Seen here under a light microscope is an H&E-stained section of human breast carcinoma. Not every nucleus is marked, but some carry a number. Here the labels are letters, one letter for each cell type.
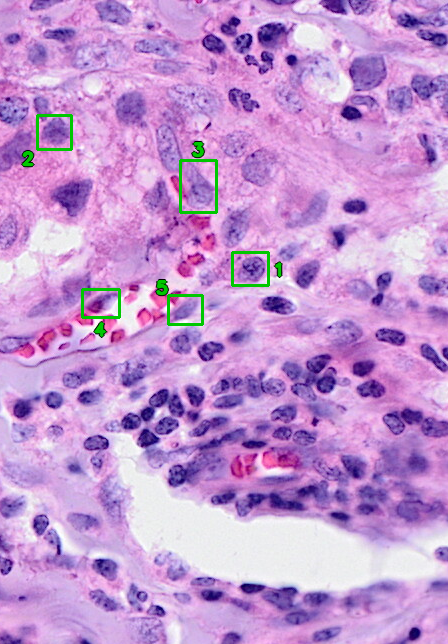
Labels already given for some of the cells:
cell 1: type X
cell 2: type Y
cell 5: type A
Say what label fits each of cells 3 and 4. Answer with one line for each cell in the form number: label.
3: type A
4: type A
